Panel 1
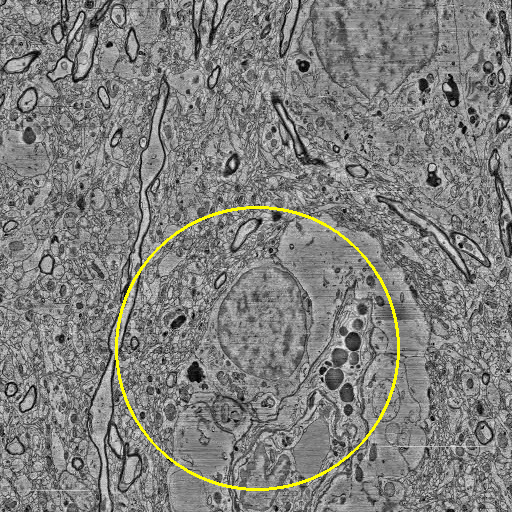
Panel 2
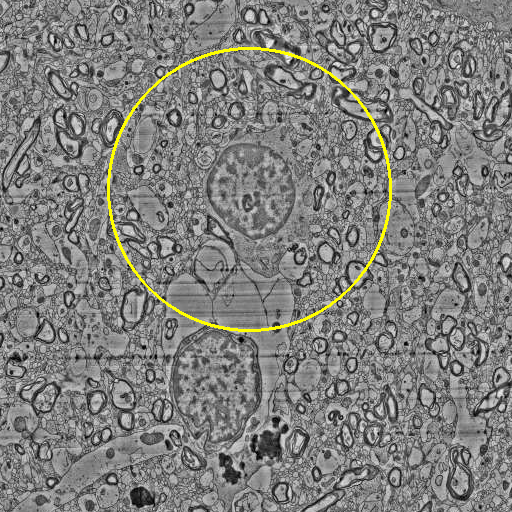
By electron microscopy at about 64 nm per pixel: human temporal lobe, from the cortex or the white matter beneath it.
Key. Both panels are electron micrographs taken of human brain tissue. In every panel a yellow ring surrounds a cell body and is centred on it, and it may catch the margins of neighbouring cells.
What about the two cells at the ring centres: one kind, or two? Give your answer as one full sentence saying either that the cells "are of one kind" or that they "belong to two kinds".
Across Panels 1 and 2, the two cells at the ring centres are of one kind.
